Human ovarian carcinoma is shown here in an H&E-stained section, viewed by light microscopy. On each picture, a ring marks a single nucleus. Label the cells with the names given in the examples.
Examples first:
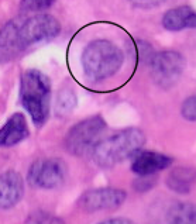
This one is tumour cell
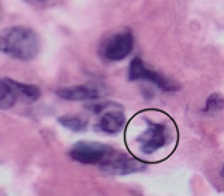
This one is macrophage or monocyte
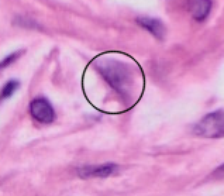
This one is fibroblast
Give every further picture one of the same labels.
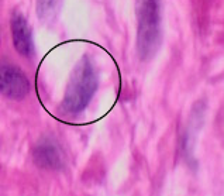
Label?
fibroblast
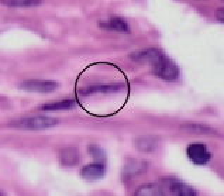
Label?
fibroblast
